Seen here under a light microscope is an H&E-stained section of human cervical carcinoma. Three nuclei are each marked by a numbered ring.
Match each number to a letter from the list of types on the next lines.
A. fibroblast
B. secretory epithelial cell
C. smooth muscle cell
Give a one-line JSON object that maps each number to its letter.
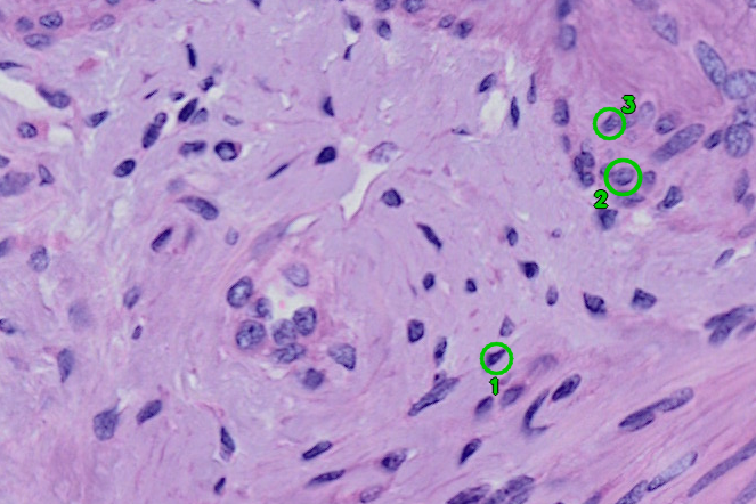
{"1": "A", "2": "C", "3": "C"}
